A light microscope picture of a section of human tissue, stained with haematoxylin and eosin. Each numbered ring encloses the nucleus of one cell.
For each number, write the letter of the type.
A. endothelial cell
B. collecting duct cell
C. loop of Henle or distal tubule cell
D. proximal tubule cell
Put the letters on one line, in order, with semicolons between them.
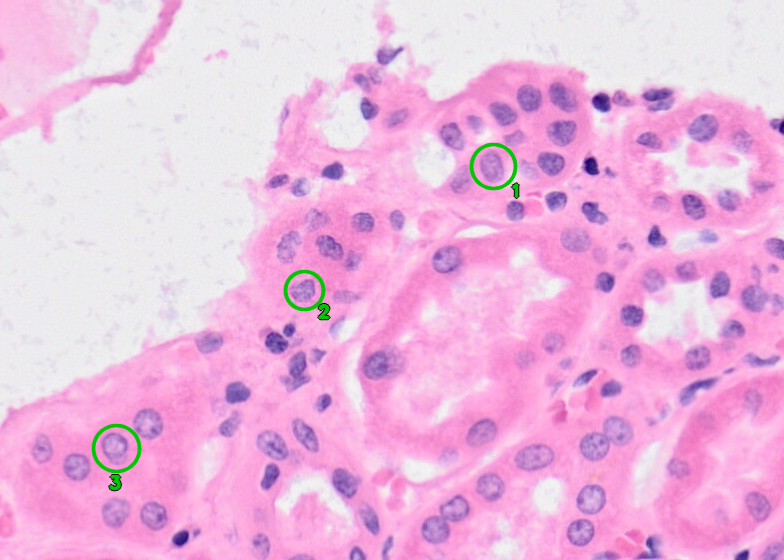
B; C; D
